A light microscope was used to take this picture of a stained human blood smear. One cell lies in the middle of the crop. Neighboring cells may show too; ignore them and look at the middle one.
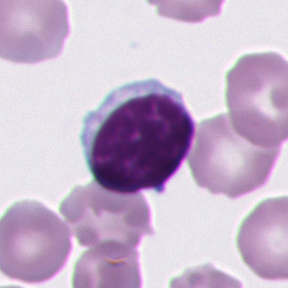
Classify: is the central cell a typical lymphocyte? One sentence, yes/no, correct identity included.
Yes, the cell sitting in the center is a typical lymphocyte.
